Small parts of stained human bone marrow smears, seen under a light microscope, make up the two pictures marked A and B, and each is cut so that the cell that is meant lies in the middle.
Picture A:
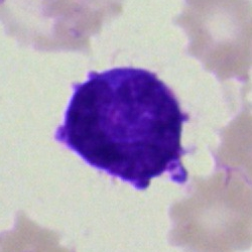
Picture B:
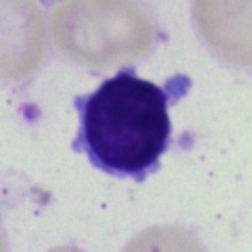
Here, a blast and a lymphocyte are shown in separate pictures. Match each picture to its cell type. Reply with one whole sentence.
Picture A is of a blast, and picture B is of a lymphocyte.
